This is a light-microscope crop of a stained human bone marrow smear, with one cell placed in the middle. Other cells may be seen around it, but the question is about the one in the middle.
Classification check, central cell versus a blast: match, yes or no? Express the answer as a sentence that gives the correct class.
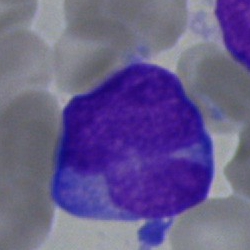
Yes, the cell lying in the middle is a blast.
